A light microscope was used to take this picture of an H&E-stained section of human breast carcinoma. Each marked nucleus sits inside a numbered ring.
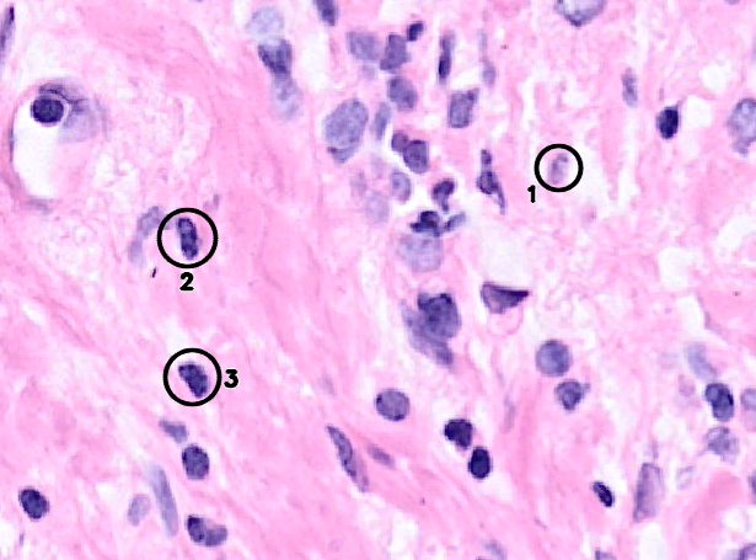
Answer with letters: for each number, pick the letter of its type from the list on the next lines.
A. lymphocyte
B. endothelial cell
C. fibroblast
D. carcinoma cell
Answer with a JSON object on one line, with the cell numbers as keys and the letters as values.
{"1": "C", "2": "A", "3": "A"}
